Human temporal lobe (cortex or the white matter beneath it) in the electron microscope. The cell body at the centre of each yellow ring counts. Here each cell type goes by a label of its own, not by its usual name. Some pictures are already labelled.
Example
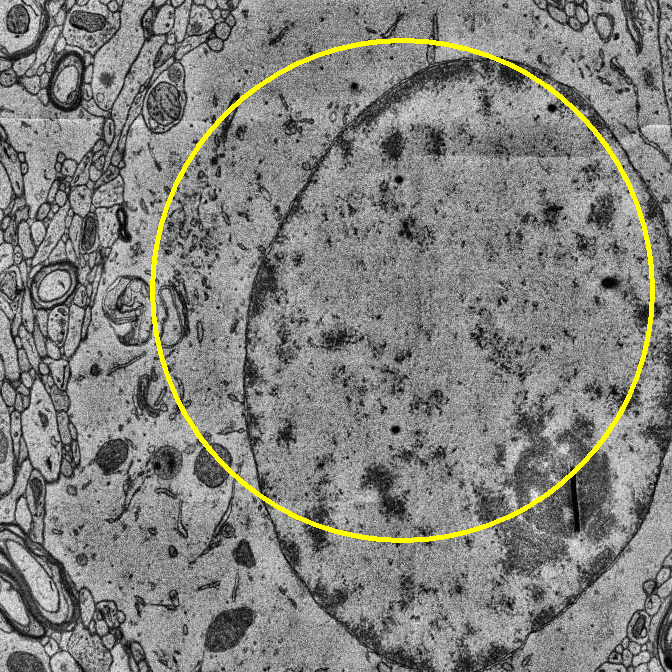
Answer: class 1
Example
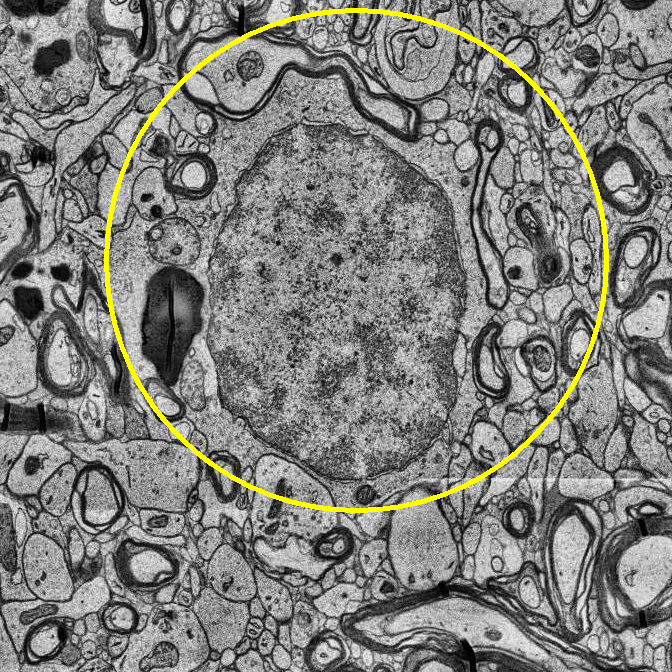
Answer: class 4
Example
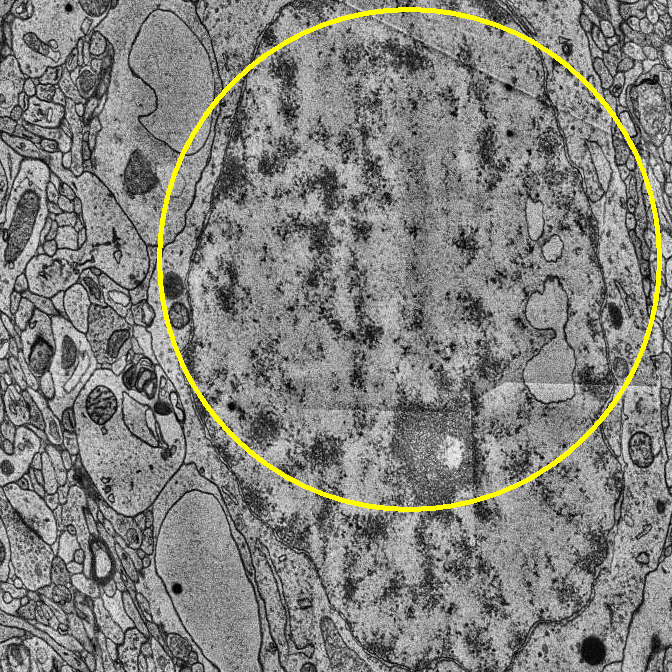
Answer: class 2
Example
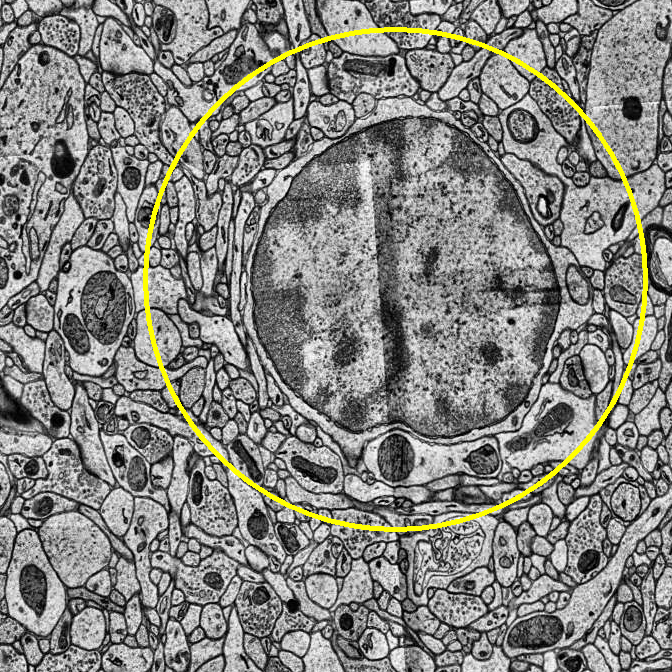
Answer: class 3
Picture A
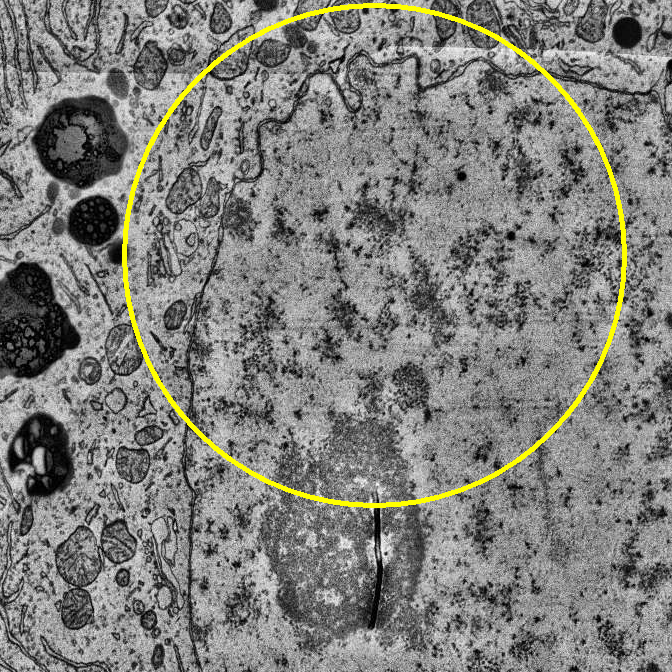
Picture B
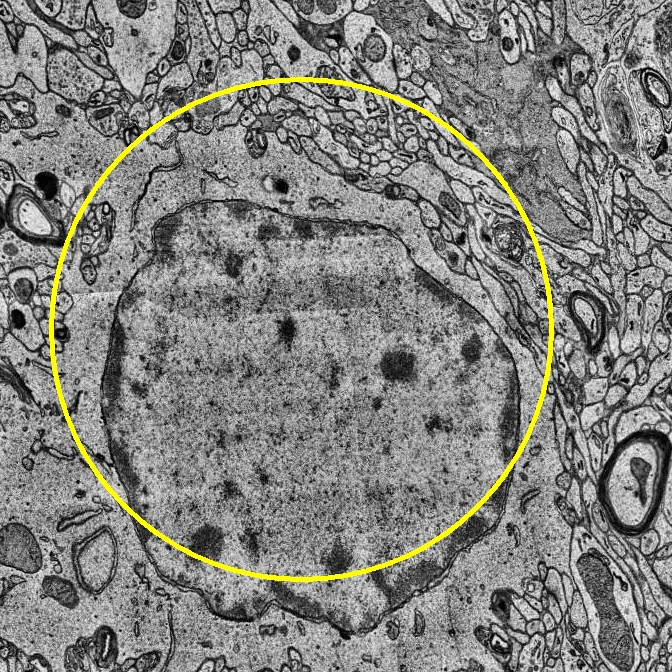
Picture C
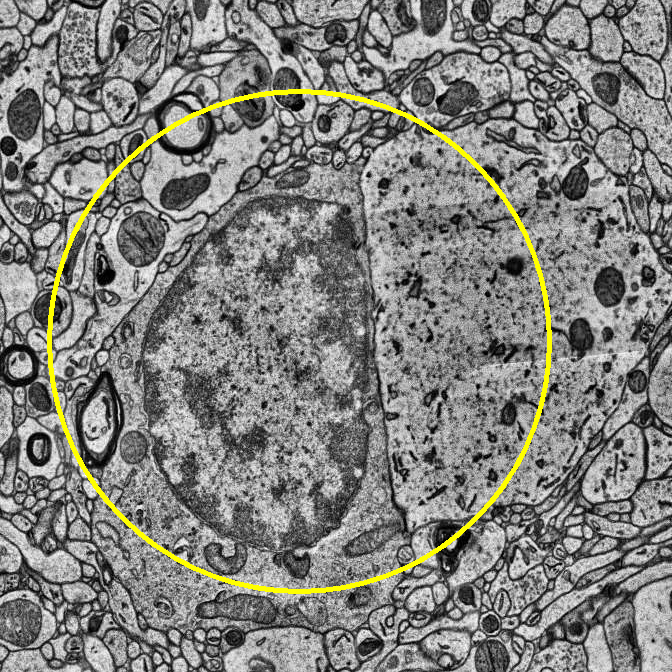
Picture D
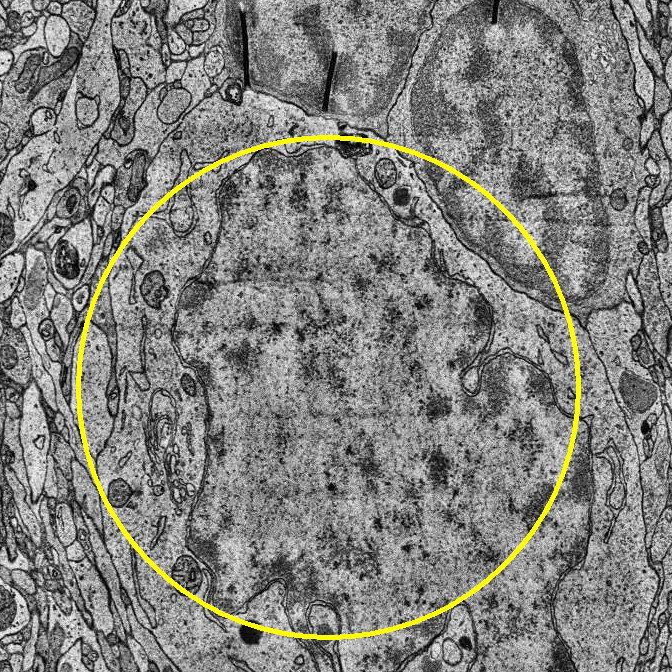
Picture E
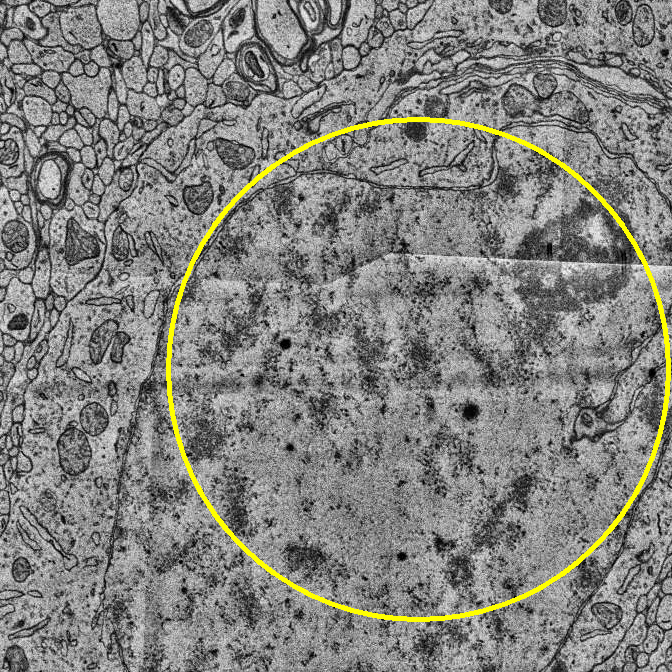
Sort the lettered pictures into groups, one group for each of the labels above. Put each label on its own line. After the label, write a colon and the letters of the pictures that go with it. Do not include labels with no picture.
class 1: B
class 4: C
class 2: A, D, E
